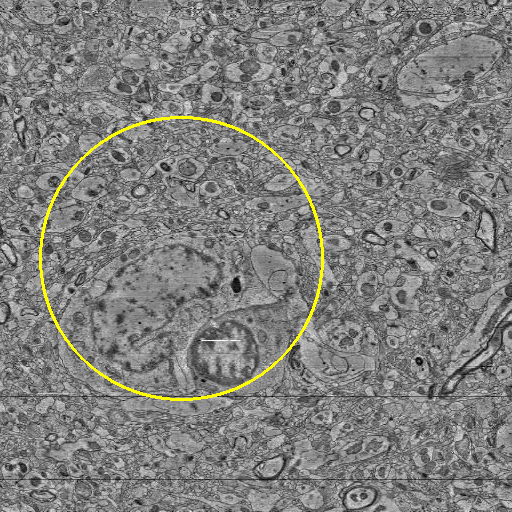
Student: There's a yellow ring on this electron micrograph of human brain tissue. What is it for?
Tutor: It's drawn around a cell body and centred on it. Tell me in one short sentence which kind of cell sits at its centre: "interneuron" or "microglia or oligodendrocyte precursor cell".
The cell at the centre of the ring is an interneuron.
